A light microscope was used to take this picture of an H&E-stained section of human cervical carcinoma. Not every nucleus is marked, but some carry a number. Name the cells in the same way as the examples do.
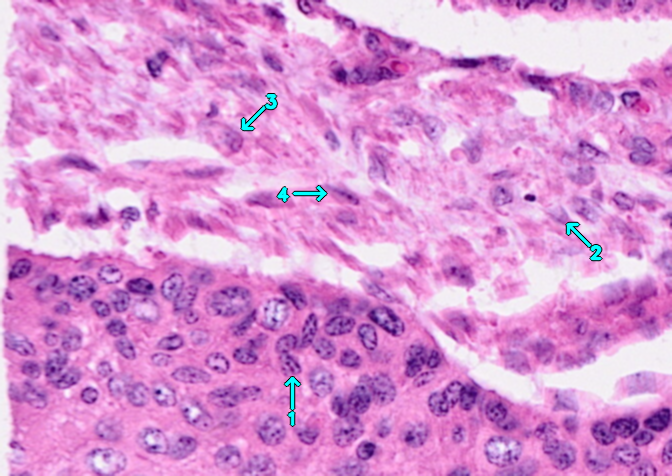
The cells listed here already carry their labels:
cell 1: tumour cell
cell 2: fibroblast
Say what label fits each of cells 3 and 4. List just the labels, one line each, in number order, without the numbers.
fibroblast
fibroblast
